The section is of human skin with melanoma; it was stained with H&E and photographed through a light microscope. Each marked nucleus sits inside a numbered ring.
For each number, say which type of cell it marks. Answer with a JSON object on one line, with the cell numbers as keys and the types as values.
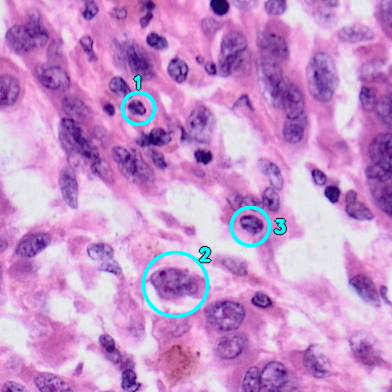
{"1": "lymphocyte", "2": "melanoma cell", "3": "lymphocyte"}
